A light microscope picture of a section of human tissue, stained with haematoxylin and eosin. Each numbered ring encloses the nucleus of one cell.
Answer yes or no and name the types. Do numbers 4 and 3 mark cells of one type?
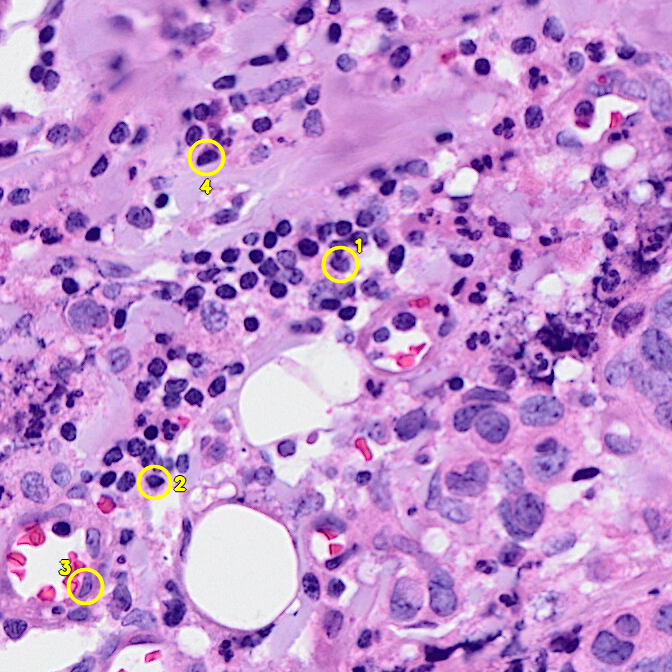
No, cell 4 is a lymphocyte and cell 3 is an endothelial cell.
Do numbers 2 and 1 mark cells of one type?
Yes, both are lymphocytes.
